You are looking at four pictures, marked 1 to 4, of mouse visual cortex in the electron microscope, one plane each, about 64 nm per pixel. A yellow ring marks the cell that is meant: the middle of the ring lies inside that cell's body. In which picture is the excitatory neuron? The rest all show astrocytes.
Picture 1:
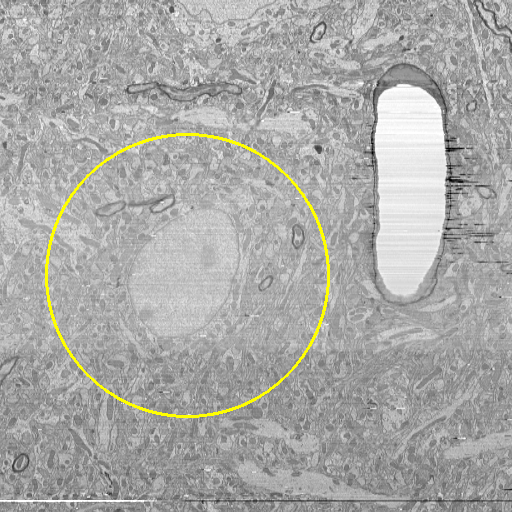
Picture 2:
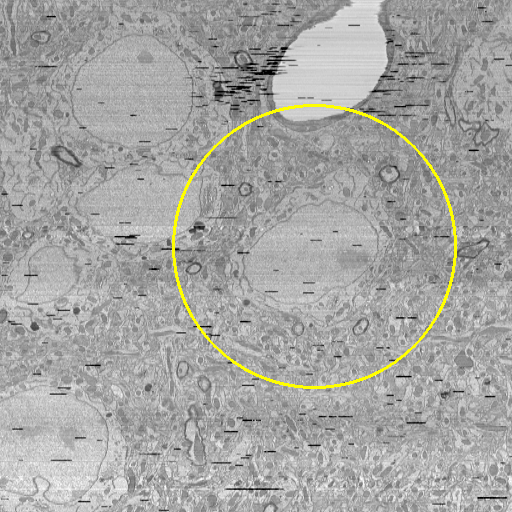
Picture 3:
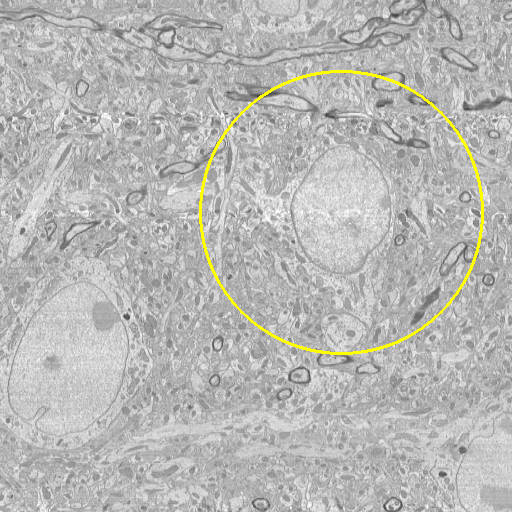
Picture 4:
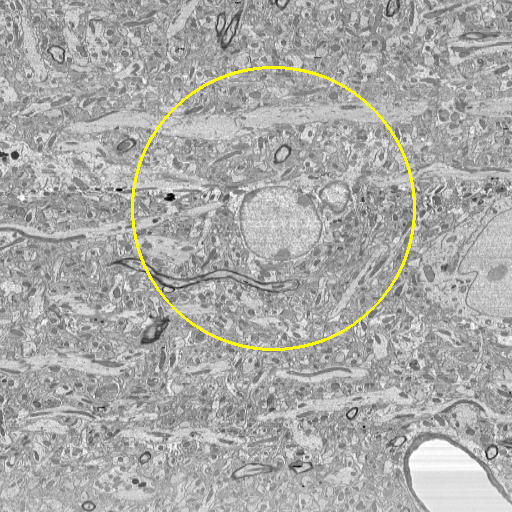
The cell in picture 2 is the excitatory neuron.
